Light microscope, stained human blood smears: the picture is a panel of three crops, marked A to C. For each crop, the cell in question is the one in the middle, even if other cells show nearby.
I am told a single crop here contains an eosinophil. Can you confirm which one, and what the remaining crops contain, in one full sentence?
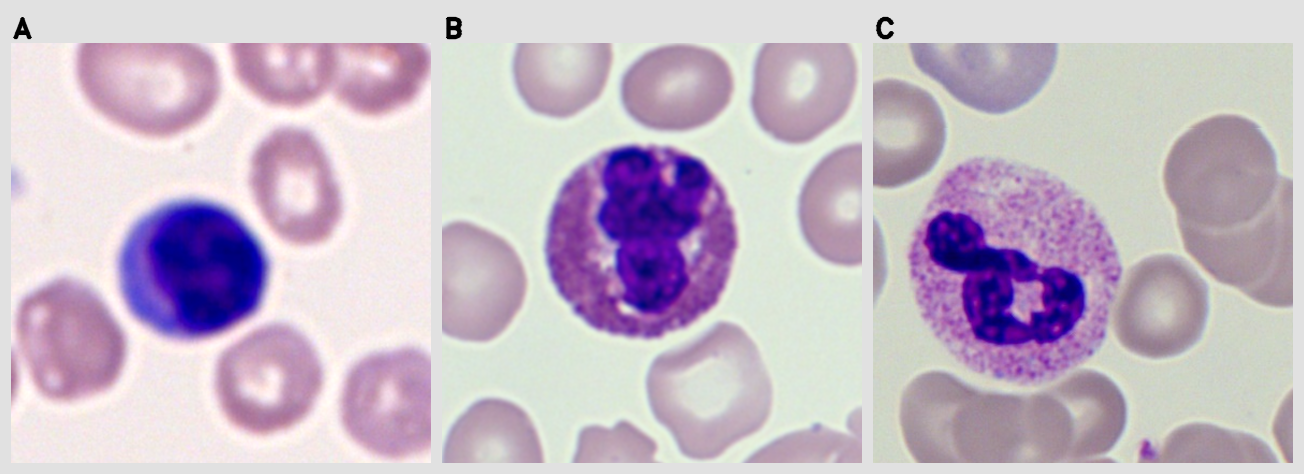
Crop B presents an eosinophil, while crop A is a lymphocyte and crop C is a segmented neutrophil.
